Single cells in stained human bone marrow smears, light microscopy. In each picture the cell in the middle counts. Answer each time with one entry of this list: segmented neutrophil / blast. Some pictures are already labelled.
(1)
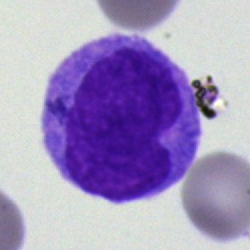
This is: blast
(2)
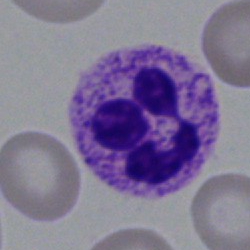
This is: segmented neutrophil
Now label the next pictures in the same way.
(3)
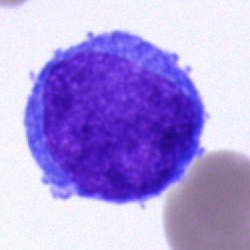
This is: blast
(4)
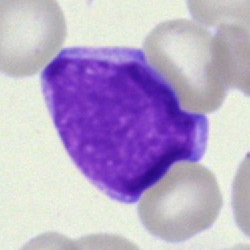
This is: blast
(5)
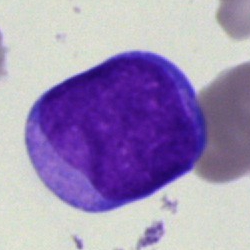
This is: blast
